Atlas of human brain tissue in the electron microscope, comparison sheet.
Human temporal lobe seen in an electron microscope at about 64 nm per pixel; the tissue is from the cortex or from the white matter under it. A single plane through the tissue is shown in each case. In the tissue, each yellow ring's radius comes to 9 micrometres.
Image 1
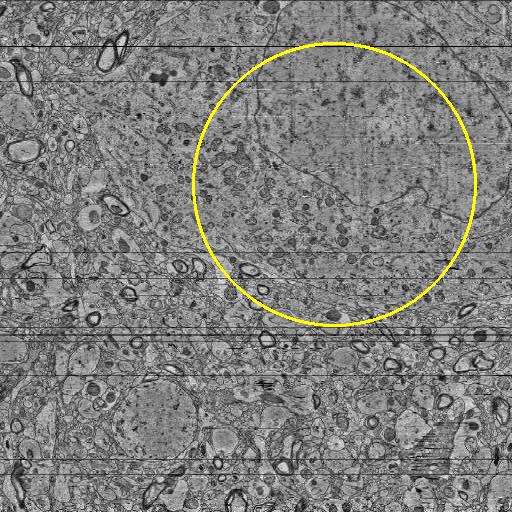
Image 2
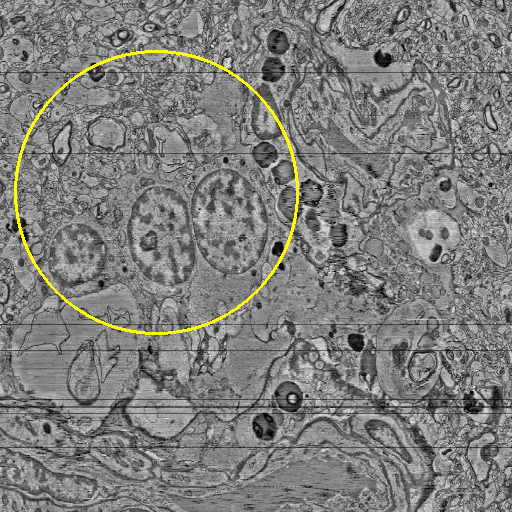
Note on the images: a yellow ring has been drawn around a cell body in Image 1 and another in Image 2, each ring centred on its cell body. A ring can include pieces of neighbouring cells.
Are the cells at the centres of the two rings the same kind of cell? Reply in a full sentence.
No, the two cells are of two kinds.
